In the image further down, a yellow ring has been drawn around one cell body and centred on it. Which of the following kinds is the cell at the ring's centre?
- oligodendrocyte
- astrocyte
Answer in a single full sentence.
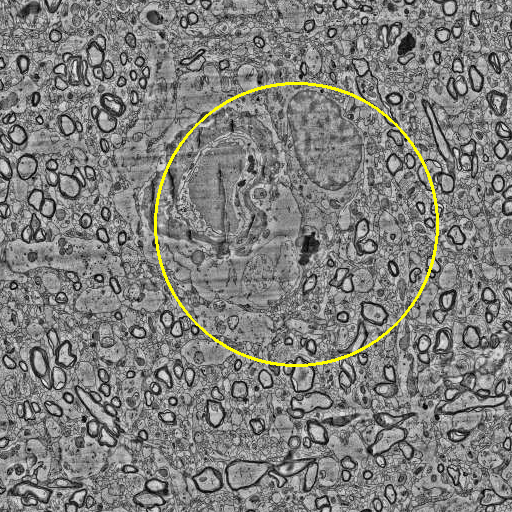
In the picture, the cell sitting at the centre of the yellow ring is an oligodendrocyte.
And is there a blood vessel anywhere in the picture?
Yes.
